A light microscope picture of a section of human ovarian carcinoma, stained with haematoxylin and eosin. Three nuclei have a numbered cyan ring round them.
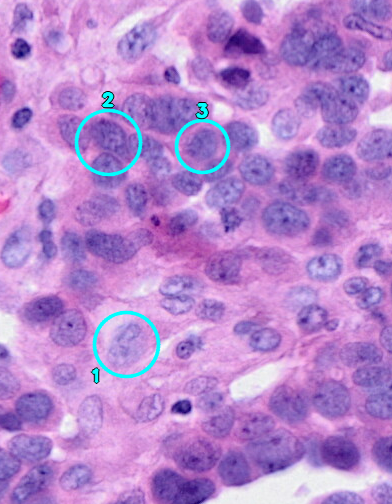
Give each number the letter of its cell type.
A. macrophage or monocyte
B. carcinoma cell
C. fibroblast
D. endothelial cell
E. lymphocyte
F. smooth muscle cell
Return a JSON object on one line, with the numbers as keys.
{"1": "C", "2": "B", "3": "B"}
